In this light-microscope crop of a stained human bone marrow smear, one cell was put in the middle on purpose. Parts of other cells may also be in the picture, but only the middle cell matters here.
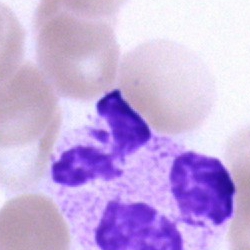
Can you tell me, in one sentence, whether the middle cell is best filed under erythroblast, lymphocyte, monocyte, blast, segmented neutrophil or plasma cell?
Framed in the middle of the crop is a segmented neutrophil.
